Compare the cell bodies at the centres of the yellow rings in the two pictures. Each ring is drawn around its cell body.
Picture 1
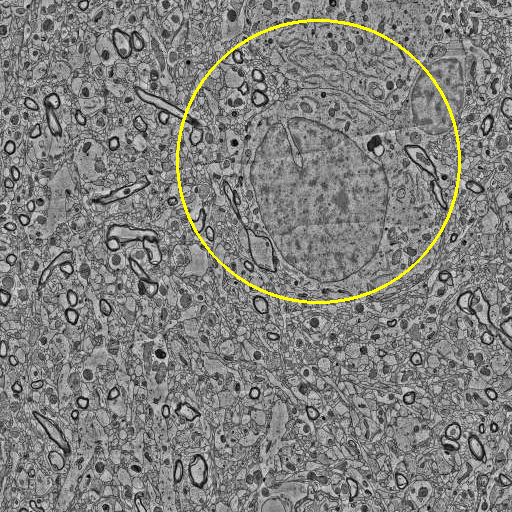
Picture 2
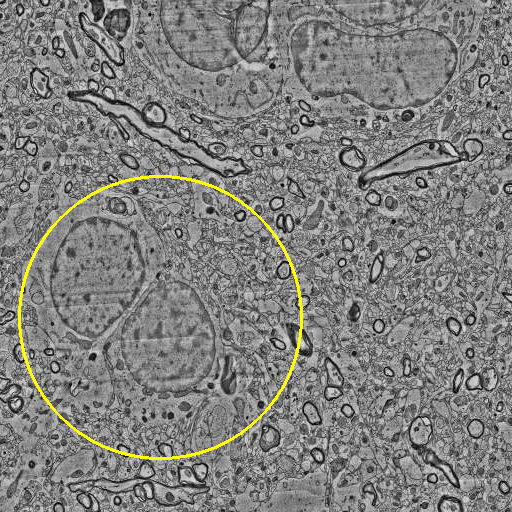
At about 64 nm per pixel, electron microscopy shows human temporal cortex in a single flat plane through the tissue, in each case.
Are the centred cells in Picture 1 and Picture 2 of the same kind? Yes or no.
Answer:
no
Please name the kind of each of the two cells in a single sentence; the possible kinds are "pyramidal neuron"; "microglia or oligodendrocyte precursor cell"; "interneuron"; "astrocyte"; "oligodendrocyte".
In the first picture the ring is centred on an interneuron, and in the second on an oligodendrocyte.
